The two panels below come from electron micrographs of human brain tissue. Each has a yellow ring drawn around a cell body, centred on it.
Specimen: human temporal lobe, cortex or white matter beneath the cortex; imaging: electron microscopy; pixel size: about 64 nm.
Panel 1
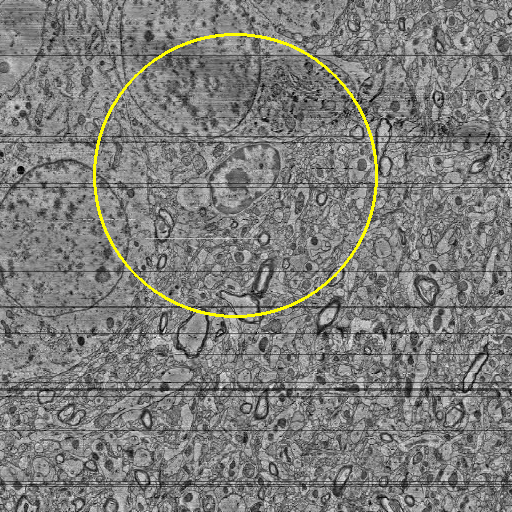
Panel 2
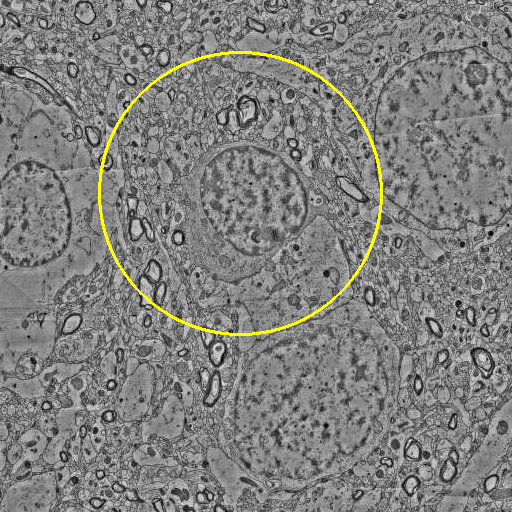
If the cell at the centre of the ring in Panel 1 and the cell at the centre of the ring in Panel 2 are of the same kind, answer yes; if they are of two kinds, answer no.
no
